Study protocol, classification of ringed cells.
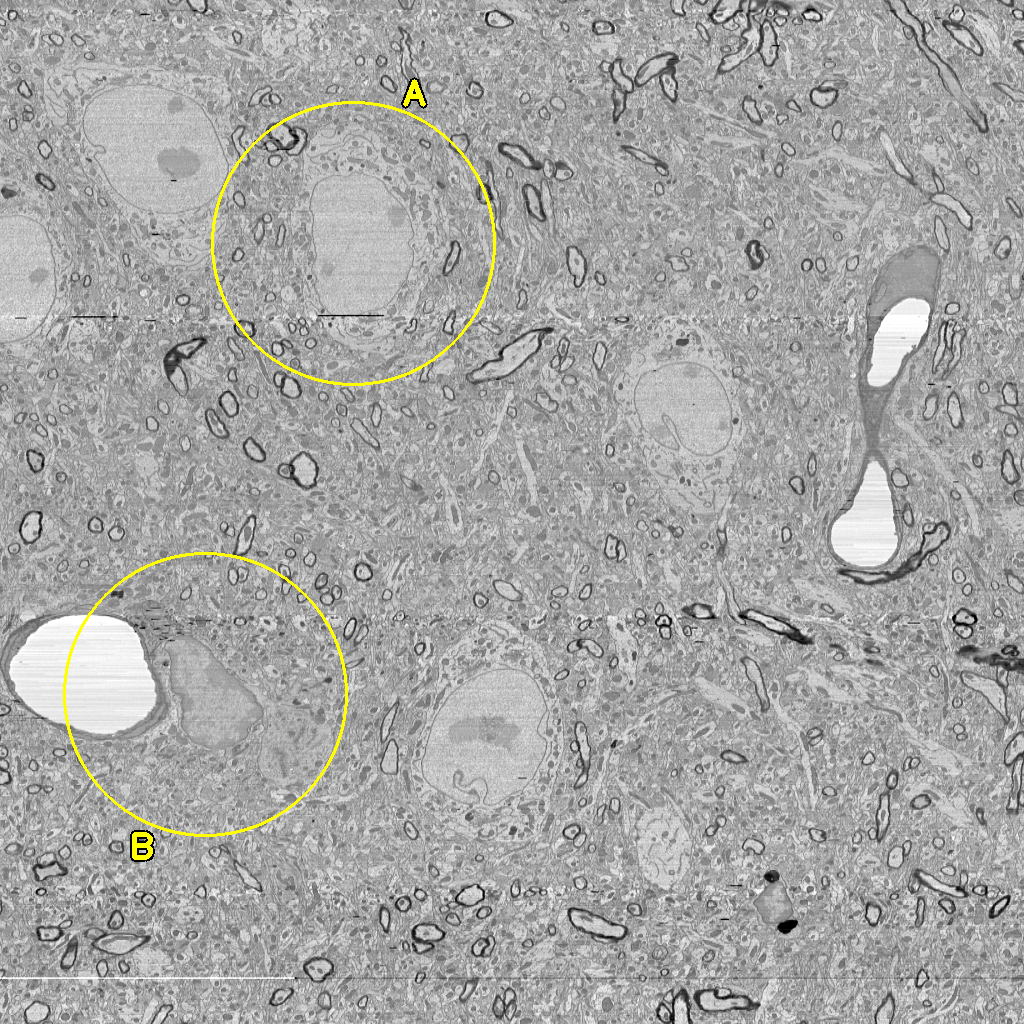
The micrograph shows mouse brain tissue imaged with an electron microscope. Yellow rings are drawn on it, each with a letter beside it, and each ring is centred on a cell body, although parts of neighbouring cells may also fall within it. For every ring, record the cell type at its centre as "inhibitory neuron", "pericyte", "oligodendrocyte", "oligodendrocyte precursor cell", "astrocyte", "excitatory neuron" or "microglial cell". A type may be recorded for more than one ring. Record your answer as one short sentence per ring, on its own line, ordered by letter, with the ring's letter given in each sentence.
Ring A has been centred on an excitatory neuron.
Ring B has been centred on a microglial cell.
